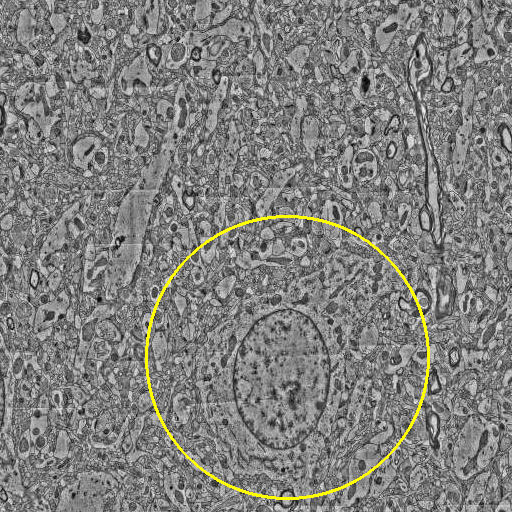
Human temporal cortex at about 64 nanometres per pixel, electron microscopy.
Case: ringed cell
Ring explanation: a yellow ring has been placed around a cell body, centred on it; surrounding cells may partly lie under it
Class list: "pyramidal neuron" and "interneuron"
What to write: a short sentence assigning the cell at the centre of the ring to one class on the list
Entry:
The cell at the ring's centre is a pyramidal neuron.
